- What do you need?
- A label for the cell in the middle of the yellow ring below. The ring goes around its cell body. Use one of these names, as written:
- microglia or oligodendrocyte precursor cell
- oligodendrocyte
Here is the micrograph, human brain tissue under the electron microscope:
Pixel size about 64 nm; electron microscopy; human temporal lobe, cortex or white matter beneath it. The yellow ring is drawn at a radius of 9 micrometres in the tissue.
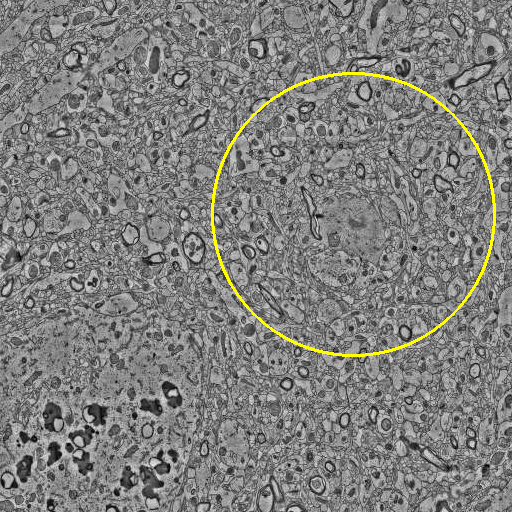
oligodendrocyte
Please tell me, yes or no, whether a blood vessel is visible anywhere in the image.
No, none is visible.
